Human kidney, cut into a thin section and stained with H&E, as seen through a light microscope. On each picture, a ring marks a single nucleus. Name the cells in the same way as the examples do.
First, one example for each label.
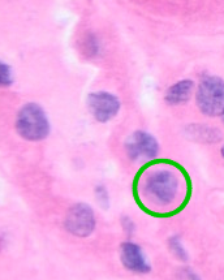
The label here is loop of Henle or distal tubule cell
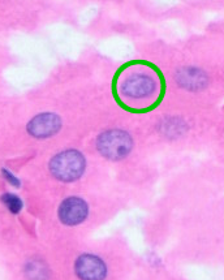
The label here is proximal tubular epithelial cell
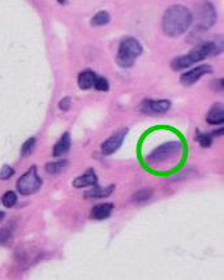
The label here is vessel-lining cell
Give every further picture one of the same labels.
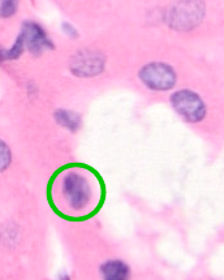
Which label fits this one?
loop of Henle or distal tubule cell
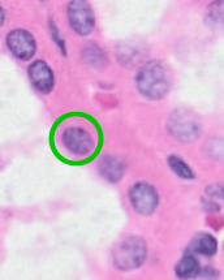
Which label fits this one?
loop of Henle or distal tubule cell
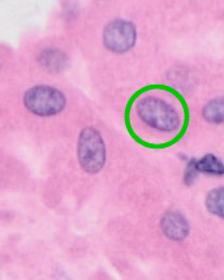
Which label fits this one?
proximal tubular epithelial cell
